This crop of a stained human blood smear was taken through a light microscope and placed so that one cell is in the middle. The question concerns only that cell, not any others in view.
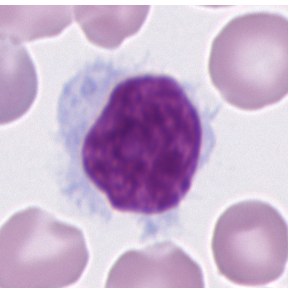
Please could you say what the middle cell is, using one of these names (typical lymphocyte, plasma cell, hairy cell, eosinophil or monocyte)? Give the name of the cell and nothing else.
hairy cell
